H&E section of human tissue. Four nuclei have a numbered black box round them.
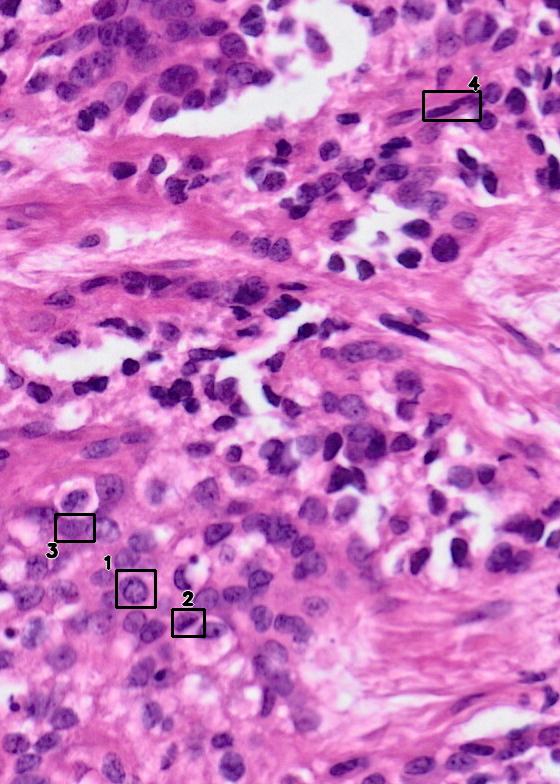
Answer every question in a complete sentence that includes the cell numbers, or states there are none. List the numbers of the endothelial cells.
Of those with numbers, only cell 4 is an endothelial cell.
